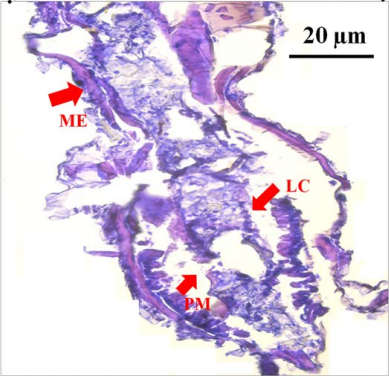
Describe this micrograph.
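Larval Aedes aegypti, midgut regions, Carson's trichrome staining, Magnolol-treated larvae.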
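Purple-stained wall tissue forms irregular, folded and fragmented strips rather than a smooth continuous layer, with pale pink bands alongside. The lumen holds loose, patchy pale purple material with empty clefts and spaces instead of a dense, even filling. Few distinct nuclei can be made out, and the boundary between wall and lumen is ragged and hard to follow.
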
